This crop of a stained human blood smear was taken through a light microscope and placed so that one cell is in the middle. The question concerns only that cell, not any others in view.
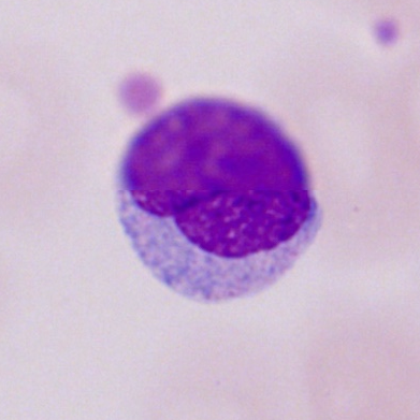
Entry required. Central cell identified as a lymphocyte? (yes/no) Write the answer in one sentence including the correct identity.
Yes, the cell at the center of the crop is a lymphocyte.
